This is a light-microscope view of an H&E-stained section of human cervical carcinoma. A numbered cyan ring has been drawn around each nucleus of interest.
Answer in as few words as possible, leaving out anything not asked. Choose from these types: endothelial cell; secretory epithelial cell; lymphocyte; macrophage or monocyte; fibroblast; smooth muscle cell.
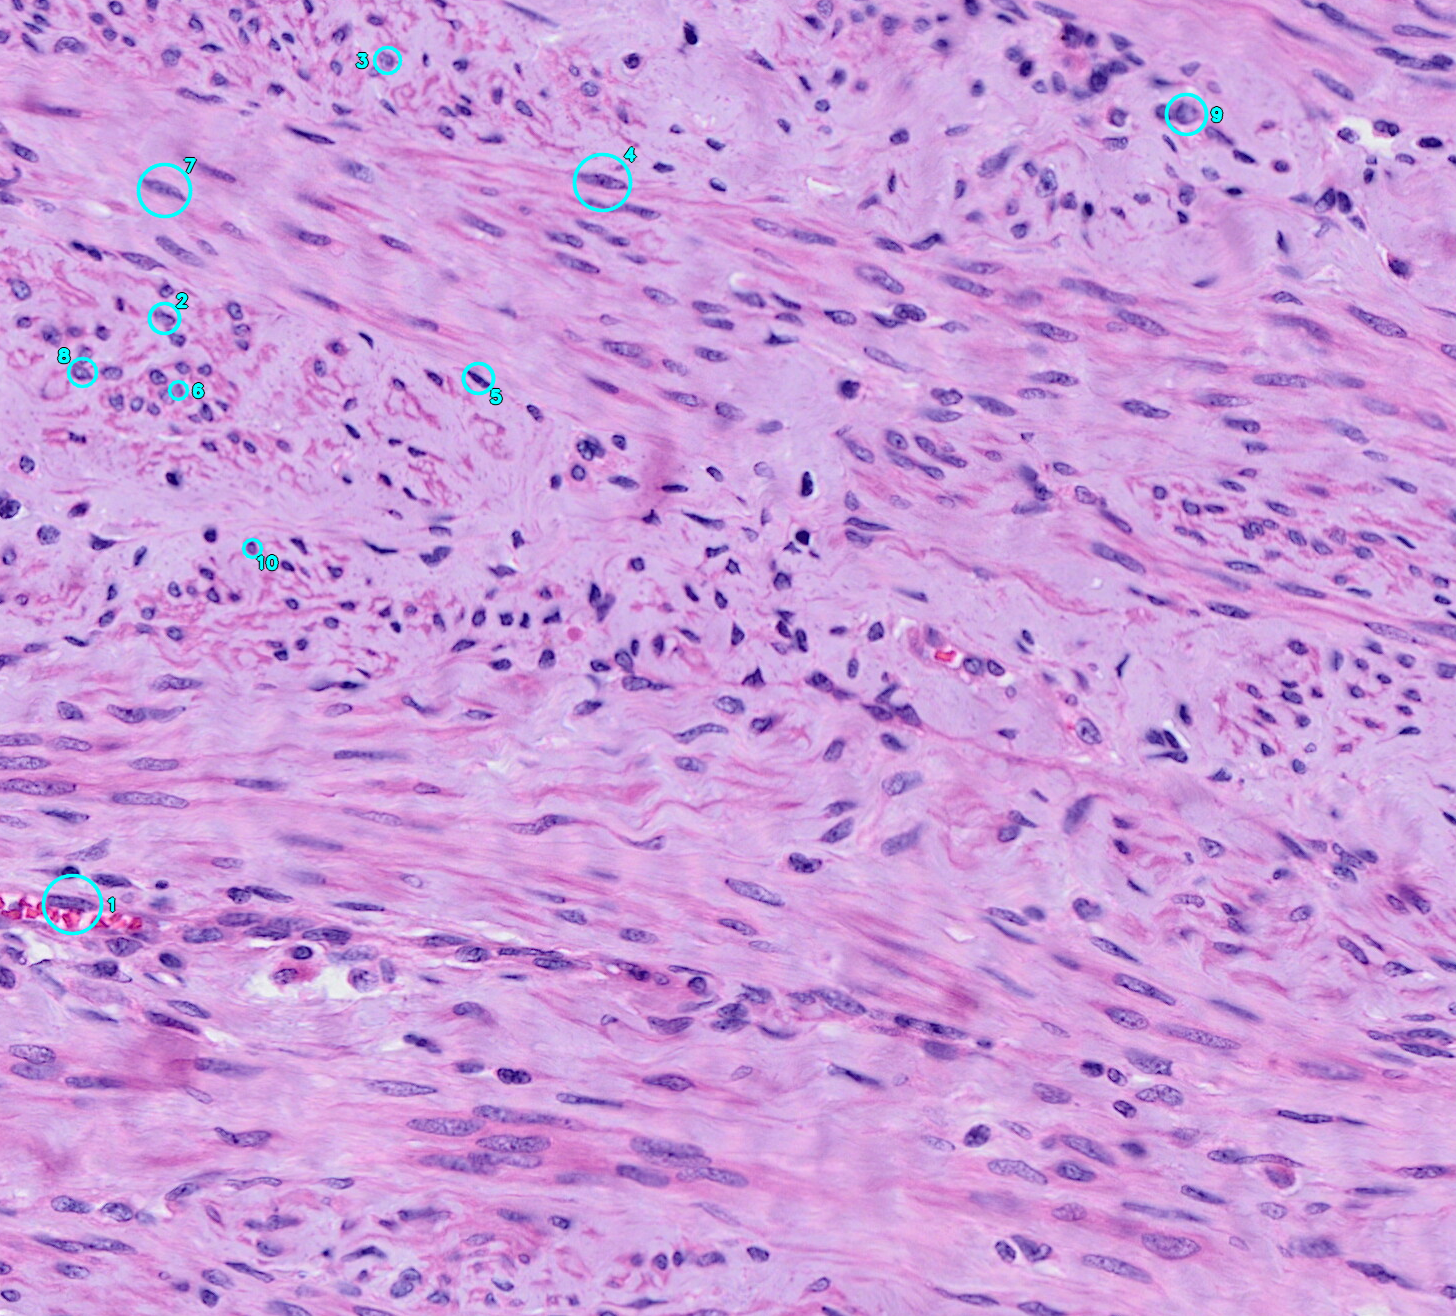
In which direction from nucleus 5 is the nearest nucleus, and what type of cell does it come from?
a smooth muscle cell; to the left of nucleus 5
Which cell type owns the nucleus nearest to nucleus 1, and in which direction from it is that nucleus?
a lymphocyte, above nucleus 1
